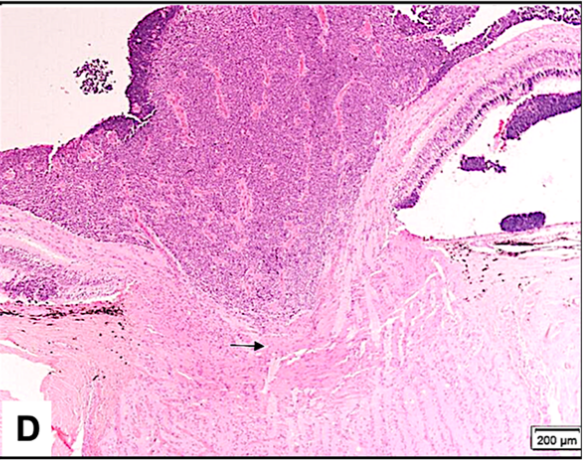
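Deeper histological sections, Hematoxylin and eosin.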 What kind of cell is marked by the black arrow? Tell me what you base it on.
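A dense, deep purple, highly cellular mass fills a funnel-shaped cup at the centre of the panel. The mass tapers downward into the pale pink fibrous tissue of the nerve head.
Answer: tumor cells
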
